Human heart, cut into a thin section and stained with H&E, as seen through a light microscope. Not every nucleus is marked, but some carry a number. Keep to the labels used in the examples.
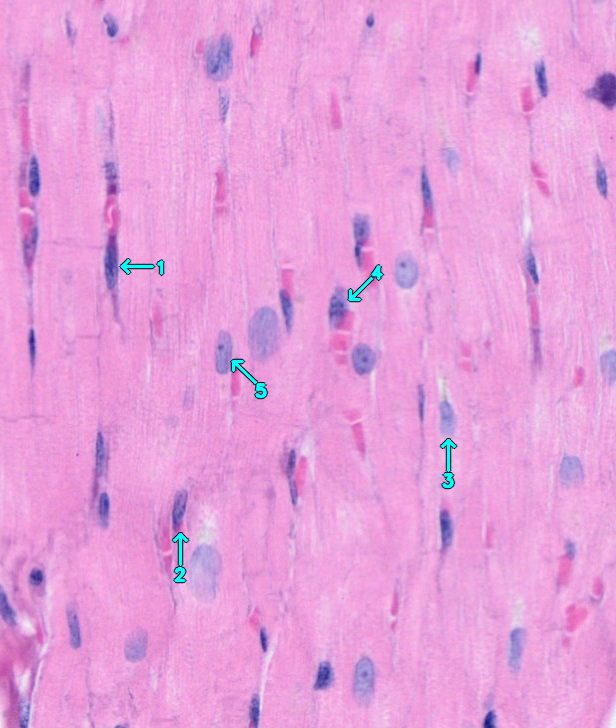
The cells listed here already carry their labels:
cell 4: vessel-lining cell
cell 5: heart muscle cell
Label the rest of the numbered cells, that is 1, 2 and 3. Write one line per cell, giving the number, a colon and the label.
1: vessel-lining cell
2: vessel-lining cell
3: heart muscle cell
